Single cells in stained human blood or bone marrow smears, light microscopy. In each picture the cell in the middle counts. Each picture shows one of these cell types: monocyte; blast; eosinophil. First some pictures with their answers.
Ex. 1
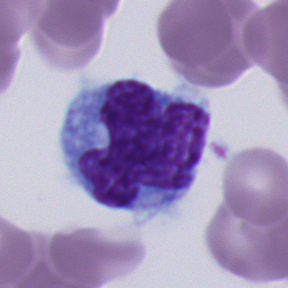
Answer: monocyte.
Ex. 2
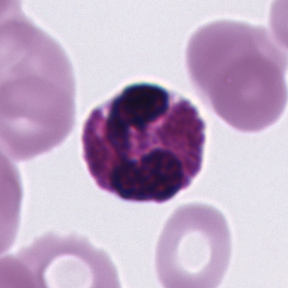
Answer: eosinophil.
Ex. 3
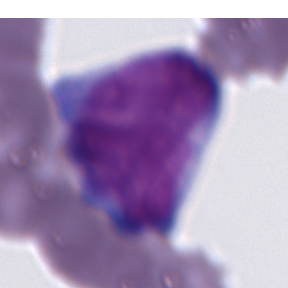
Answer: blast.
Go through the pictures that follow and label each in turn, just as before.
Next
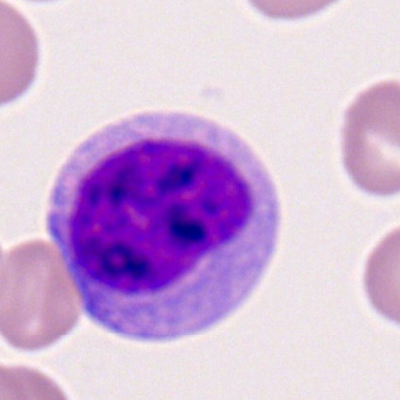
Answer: monocyte.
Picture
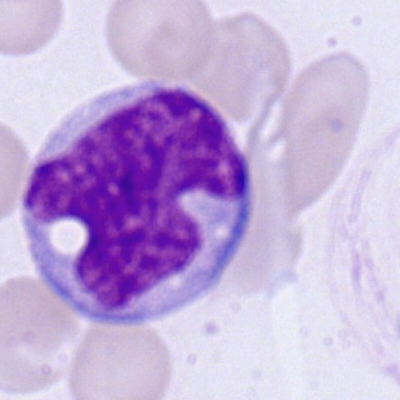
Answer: monocyte.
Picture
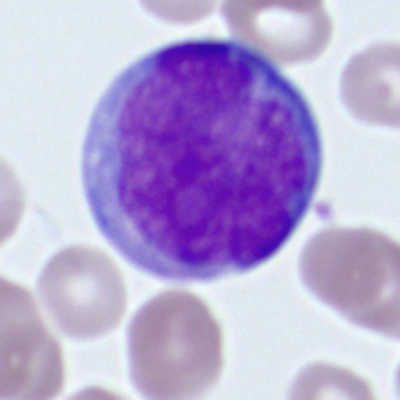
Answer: blast.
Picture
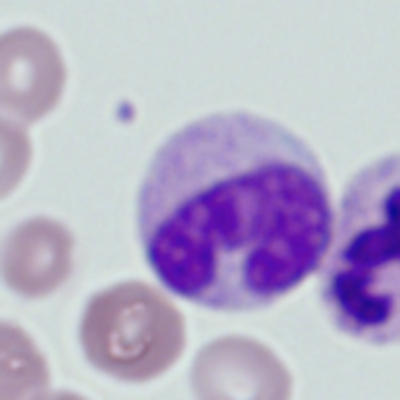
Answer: monocyte.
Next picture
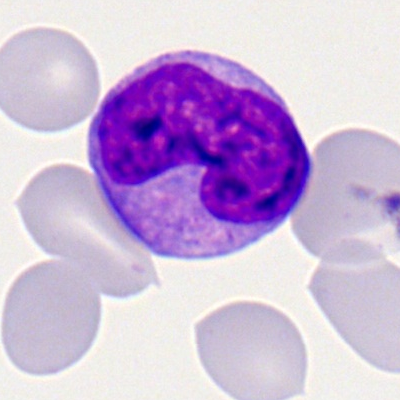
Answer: monocyte.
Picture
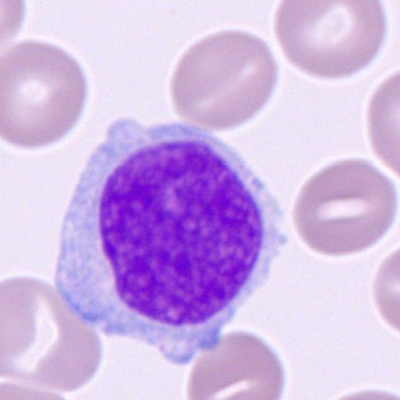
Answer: blast.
